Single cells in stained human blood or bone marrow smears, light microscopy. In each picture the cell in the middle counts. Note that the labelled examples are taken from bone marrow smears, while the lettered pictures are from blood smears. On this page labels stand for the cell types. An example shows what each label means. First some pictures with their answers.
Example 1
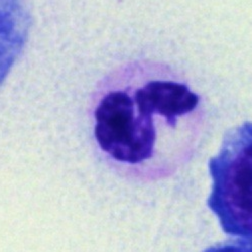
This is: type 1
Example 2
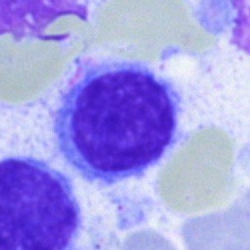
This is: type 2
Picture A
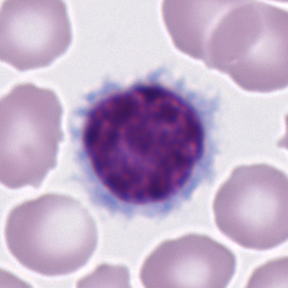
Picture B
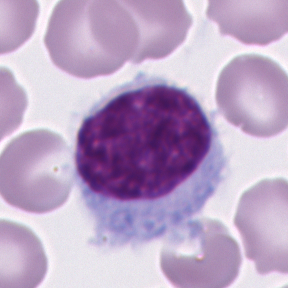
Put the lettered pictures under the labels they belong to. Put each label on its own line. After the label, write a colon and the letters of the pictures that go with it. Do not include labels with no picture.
type 2: A, B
